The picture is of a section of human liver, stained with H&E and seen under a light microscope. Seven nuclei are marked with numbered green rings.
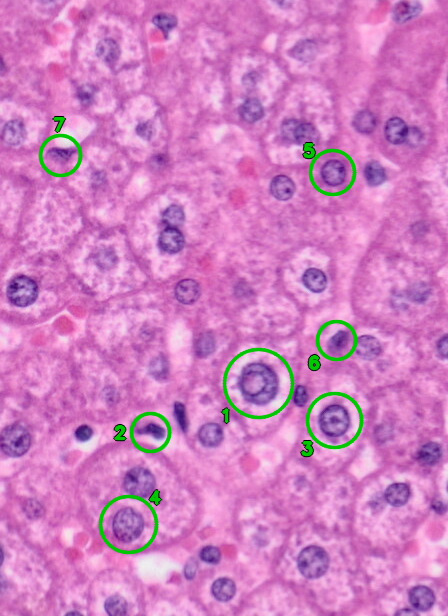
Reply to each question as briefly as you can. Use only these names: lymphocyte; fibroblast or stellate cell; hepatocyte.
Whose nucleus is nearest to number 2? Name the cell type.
fibroblast or stellate cell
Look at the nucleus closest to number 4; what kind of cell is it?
hepatocyte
